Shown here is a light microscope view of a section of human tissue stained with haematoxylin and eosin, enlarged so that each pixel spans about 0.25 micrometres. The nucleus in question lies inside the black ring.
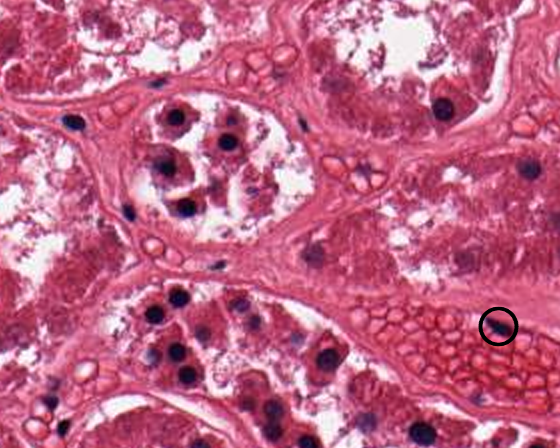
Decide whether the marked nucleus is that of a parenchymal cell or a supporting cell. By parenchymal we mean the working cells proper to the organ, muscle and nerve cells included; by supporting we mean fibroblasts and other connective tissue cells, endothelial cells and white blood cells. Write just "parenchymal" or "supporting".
supporting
